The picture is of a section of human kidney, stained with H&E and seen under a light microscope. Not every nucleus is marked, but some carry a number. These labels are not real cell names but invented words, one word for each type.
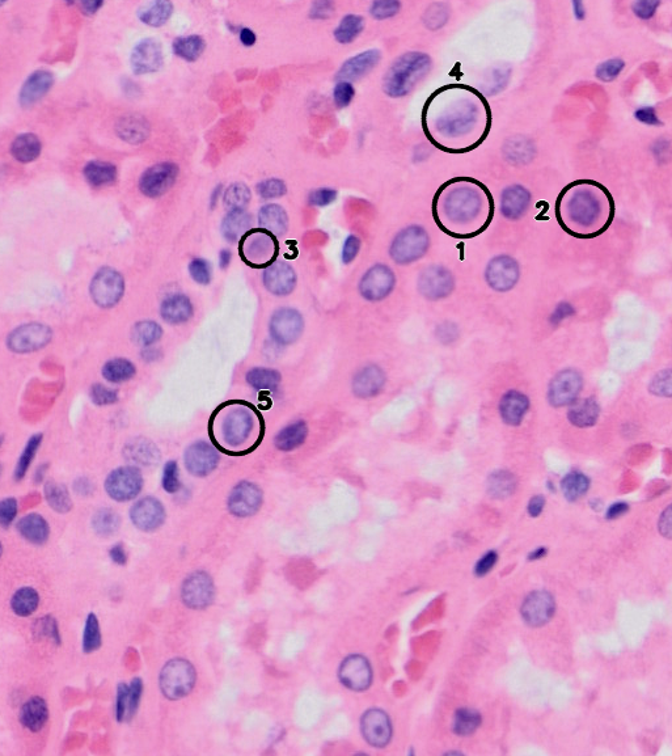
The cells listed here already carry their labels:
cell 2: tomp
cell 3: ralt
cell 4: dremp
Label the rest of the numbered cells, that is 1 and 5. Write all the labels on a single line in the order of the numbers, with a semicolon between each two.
tomp; ralt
